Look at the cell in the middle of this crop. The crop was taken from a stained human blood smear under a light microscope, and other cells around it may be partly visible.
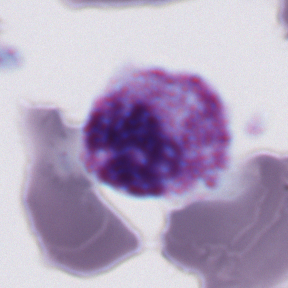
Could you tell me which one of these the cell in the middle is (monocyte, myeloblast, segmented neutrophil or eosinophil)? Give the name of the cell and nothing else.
segmented neutrophil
